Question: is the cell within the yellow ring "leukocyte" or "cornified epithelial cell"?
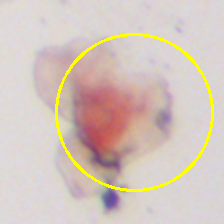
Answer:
cornified epithelial cell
